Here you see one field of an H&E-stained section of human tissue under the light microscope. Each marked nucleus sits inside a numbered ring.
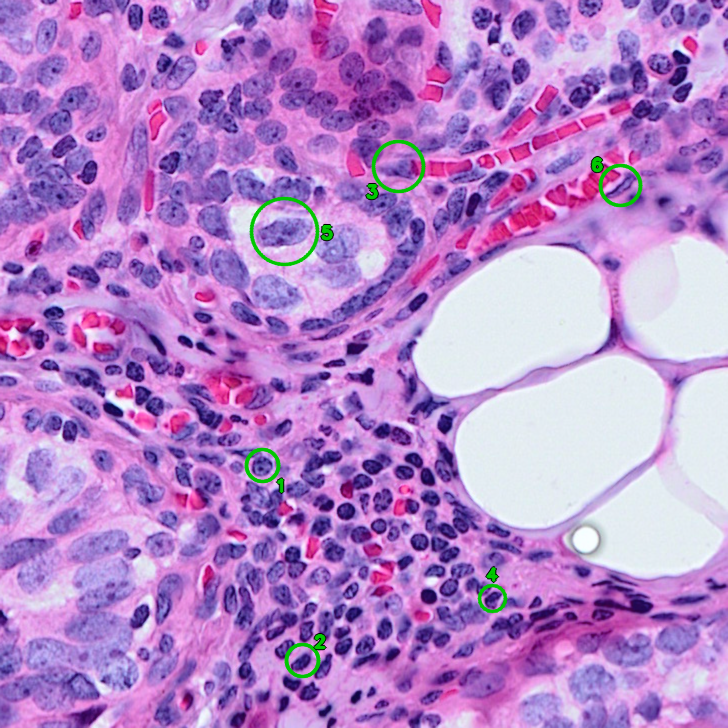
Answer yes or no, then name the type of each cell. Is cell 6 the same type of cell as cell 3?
Yes, the pair of cells 6 and 3 are both endothelial cells.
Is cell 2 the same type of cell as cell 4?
Yes, in this tissue section, cells 2 and 4 are both lymphocytes.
